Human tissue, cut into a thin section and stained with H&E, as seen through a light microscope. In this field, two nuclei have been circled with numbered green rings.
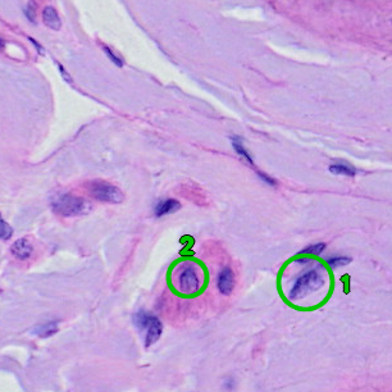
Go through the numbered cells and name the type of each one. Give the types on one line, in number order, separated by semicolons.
fibroblast; smooth muscle cell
